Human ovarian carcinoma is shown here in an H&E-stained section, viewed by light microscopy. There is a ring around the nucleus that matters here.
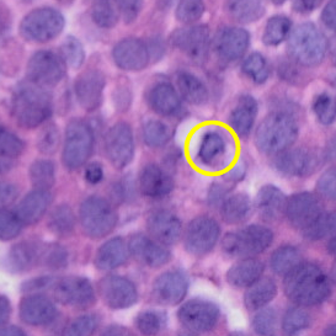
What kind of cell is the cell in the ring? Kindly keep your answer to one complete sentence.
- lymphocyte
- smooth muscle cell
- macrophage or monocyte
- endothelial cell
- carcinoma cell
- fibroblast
Students should answer that the cell in the ring is a macrophage or monocyte.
